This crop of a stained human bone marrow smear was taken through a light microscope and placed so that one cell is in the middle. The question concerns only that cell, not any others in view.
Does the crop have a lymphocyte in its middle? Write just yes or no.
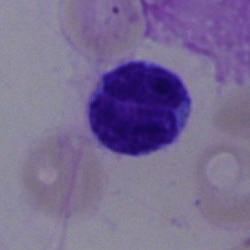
yes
